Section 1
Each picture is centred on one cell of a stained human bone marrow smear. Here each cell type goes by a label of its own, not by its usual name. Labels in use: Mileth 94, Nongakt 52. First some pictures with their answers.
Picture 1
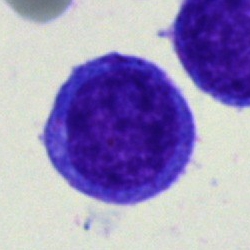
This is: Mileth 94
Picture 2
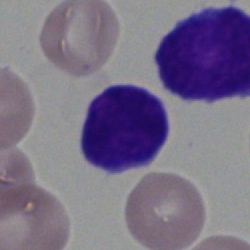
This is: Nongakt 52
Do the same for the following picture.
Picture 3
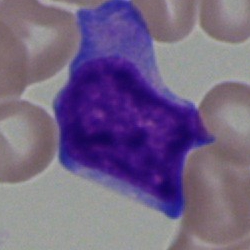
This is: Mileth 94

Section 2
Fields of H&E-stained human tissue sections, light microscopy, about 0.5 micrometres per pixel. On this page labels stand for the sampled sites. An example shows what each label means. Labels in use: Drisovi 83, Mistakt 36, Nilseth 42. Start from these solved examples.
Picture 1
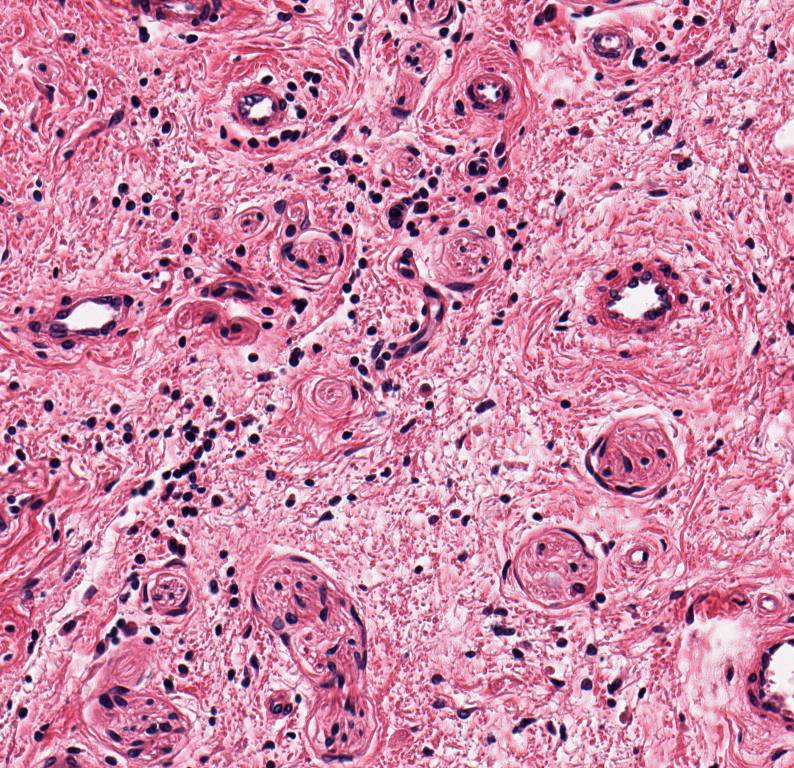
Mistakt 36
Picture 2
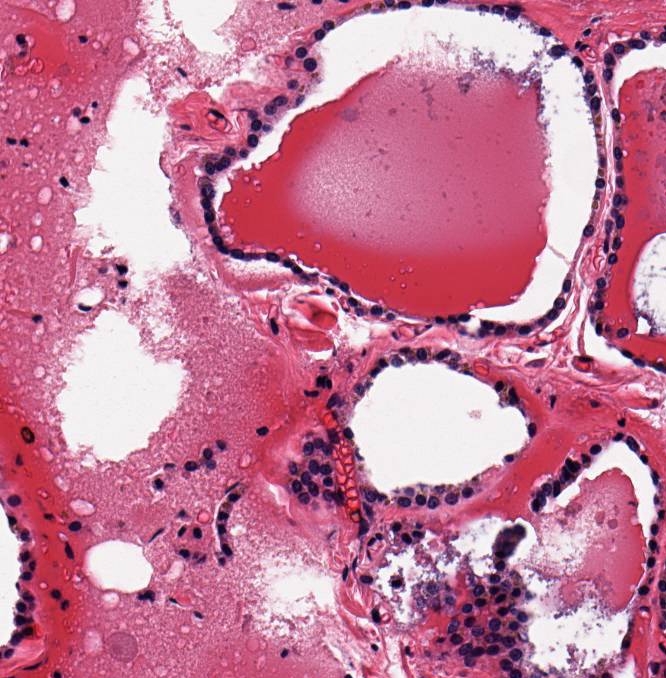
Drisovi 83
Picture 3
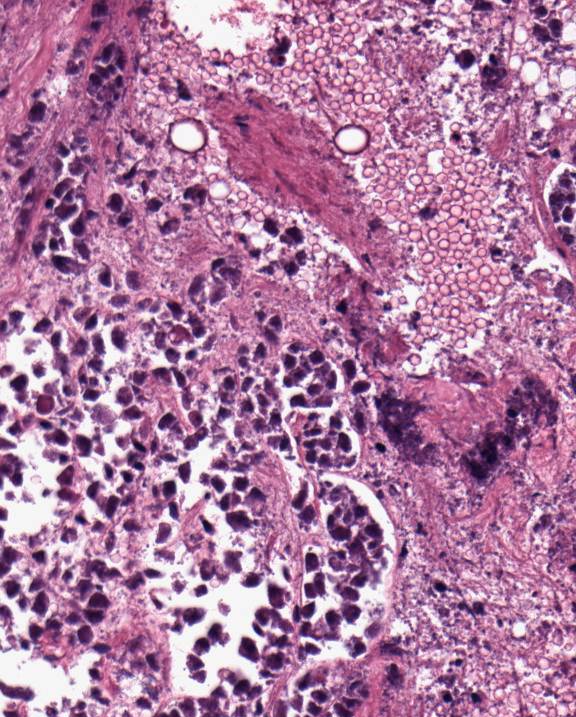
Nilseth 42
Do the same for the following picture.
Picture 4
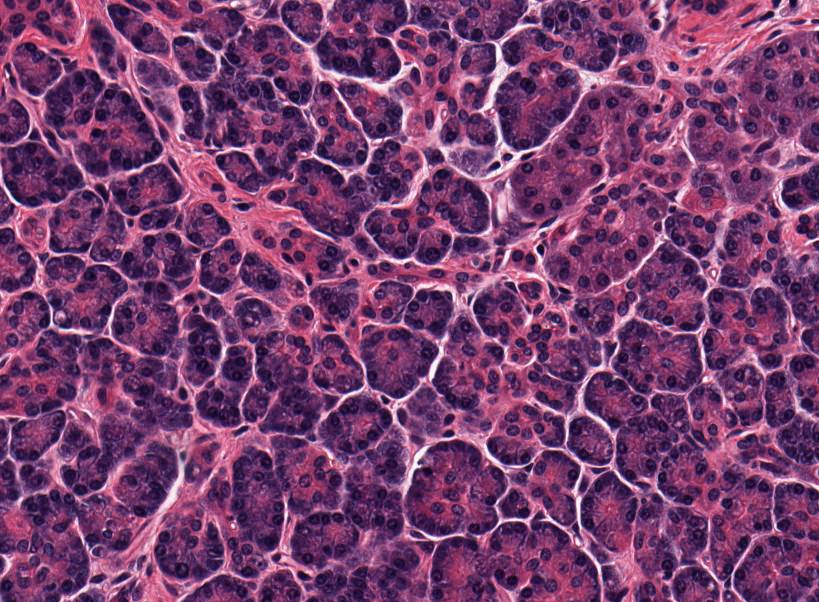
Nilseth 42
